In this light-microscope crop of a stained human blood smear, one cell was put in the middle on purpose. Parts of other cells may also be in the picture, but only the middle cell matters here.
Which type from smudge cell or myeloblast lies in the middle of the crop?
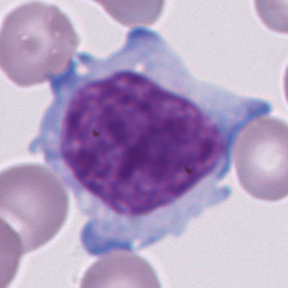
myeloblast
